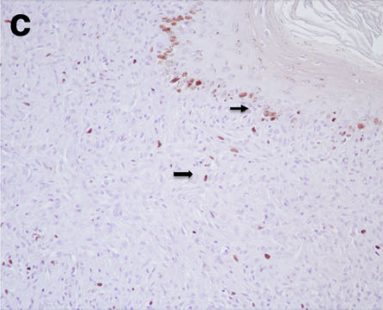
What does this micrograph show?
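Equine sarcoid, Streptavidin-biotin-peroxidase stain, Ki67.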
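Along the base of the epithelium runs a line of brown-stained nuclei belonging to the basal cells. The remaining epithelial cells above have pale blue nuclei. The dermis below is crowded with elongated fibroblasts with blue, spindle-shaped nuclei in a pale matrix. Only a few scattered fibroblast nuclei in the dermis are brown.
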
